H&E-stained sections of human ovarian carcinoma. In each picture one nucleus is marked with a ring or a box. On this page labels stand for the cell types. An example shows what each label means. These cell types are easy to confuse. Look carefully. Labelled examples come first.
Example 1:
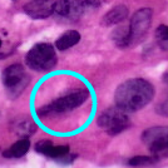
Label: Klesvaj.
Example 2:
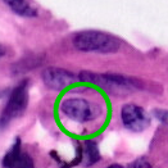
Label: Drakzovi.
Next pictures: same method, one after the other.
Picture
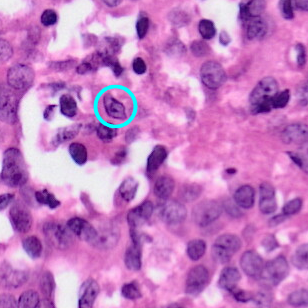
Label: Drakzovi.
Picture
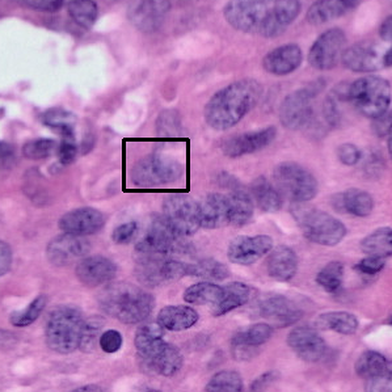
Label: Klesvaj.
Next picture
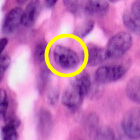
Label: Drakzovi.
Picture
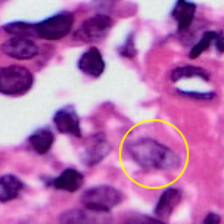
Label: Drakzovi.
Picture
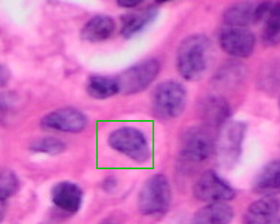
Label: Drakzovi.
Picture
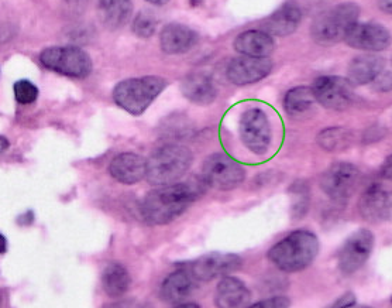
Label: Drakzovi.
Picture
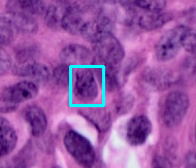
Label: Drakzovi.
